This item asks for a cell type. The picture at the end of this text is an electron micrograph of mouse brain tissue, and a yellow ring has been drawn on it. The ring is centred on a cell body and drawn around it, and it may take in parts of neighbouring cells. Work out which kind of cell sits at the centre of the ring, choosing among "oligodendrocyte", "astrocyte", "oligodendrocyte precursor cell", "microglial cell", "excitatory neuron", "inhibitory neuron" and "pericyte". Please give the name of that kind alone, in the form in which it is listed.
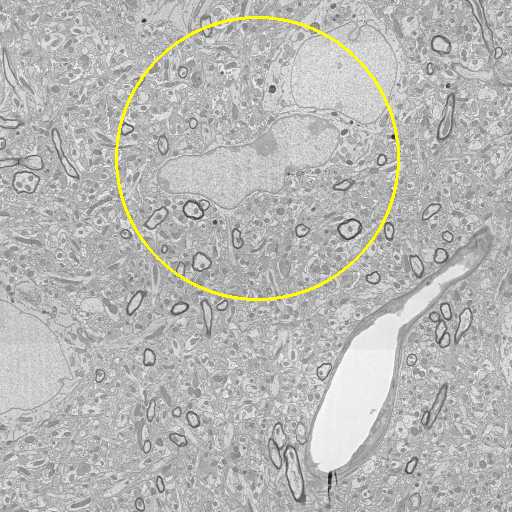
oligodendrocyte precursor cell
